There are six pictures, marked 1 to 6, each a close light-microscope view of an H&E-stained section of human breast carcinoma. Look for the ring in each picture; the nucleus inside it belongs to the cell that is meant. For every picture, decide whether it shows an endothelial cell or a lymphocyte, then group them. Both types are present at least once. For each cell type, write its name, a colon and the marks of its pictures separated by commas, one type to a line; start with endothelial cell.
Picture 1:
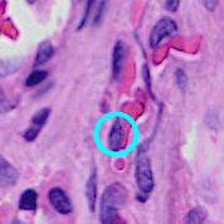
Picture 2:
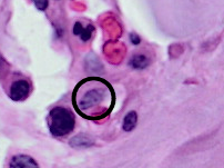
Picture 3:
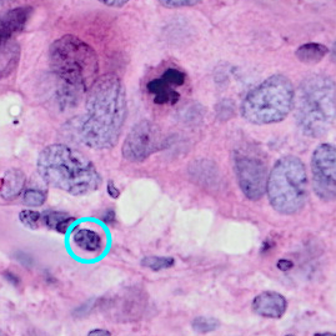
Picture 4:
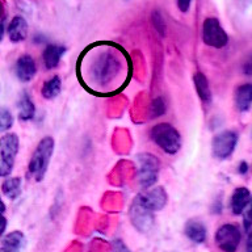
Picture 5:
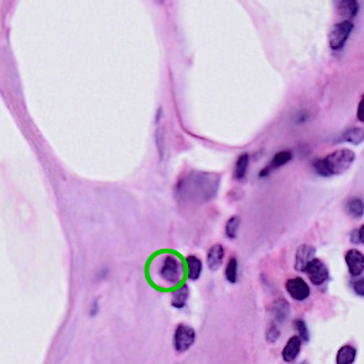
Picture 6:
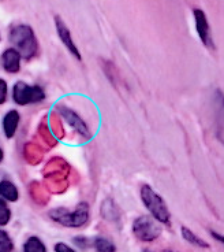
endothelial cell: 1, 2, 4, 6
lymphocyte: 3, 5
